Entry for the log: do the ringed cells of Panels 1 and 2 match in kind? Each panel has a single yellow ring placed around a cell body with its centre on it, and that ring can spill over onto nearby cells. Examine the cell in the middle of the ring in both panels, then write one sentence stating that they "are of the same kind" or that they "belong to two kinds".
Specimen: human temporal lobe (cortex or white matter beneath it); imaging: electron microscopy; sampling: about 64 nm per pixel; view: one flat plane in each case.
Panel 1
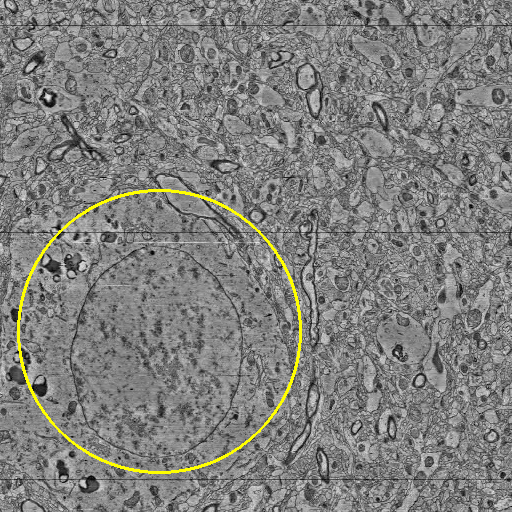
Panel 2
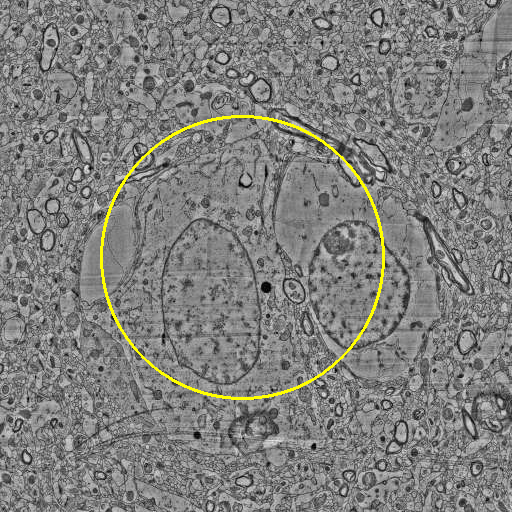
The centre cell of Panel 1's ring and that of Panel 2's ring are of the same kind.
